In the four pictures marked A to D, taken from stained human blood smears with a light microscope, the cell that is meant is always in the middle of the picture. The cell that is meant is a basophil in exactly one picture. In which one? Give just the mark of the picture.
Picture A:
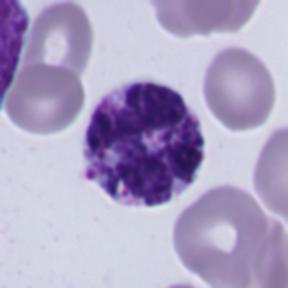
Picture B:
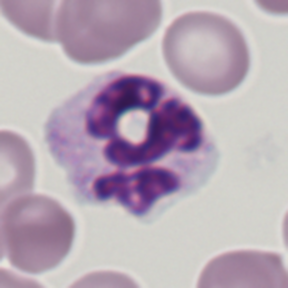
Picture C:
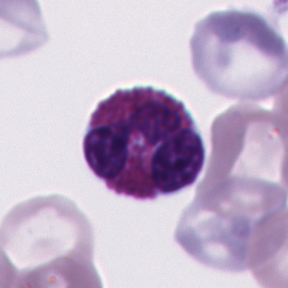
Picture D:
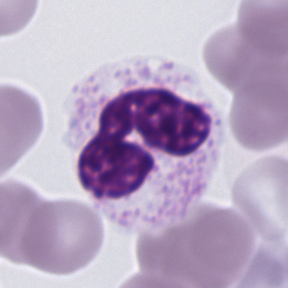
A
